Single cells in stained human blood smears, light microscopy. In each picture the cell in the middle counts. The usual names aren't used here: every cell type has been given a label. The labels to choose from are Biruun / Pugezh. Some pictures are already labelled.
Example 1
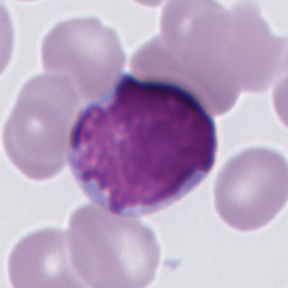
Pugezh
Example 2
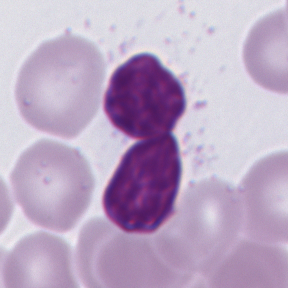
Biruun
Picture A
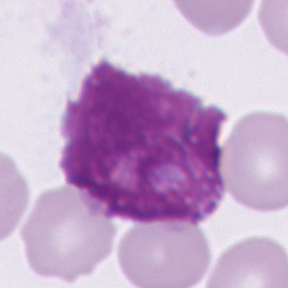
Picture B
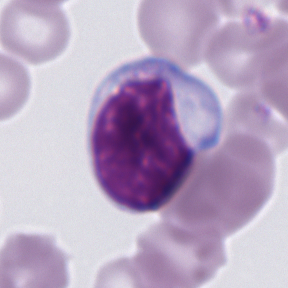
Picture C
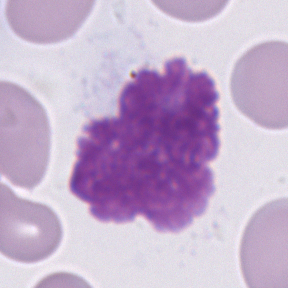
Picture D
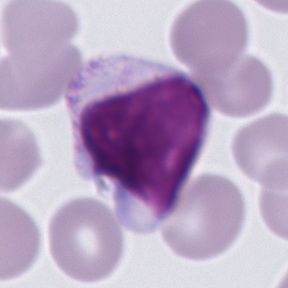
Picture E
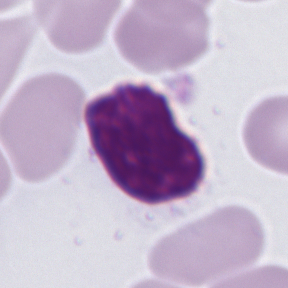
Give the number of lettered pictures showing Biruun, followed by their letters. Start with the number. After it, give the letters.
Count: 3 (A, C, E)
